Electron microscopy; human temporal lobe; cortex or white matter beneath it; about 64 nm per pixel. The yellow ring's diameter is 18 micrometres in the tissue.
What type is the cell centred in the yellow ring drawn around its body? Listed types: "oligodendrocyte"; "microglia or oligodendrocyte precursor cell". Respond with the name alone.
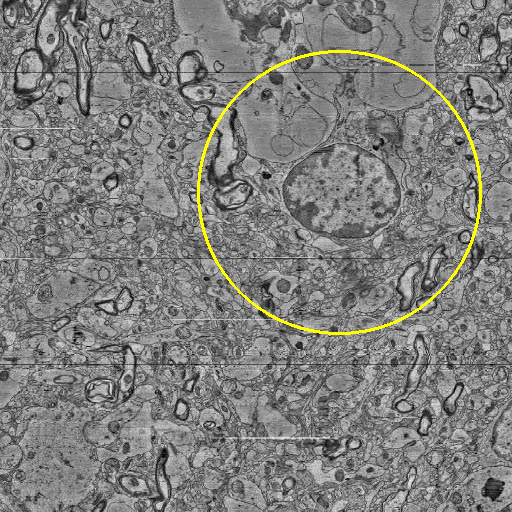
microglia or oligodendrocyte precursor cell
